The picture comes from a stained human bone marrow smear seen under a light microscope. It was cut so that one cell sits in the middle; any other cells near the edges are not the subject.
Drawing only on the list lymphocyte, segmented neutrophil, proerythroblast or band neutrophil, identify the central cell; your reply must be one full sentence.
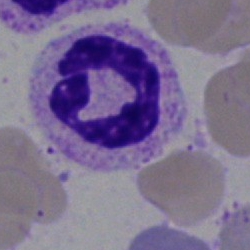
The centrally located cell in the crop is a segmented neutrophil.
